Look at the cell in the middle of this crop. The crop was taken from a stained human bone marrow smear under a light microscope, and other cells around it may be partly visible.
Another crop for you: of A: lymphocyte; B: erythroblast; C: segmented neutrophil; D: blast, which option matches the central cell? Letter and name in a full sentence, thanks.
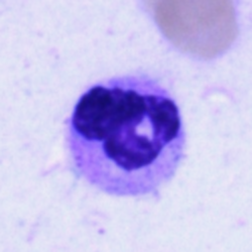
The central cell of the crop is a segmented neutrophil, which makes C the correct option.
